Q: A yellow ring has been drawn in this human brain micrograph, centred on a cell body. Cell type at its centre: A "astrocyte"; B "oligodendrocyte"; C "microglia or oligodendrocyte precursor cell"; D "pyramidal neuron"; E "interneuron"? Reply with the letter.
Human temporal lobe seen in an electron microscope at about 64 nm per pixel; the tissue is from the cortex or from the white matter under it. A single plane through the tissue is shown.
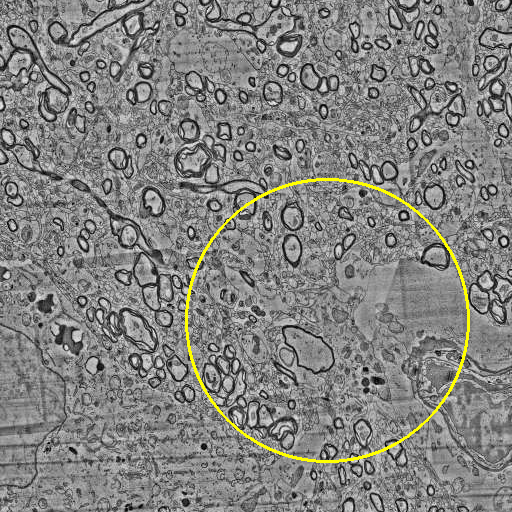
B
